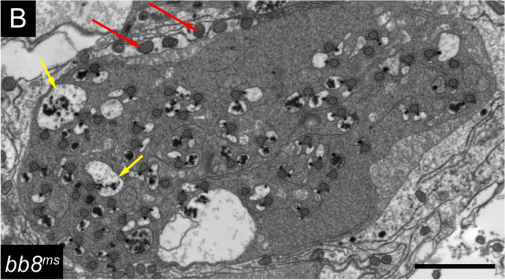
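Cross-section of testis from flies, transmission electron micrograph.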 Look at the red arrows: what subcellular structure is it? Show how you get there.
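The arrows point to small dark oval organelles at the upper edge, outside the spermatid bundle. On this evidence: Somatic mitochondria.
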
